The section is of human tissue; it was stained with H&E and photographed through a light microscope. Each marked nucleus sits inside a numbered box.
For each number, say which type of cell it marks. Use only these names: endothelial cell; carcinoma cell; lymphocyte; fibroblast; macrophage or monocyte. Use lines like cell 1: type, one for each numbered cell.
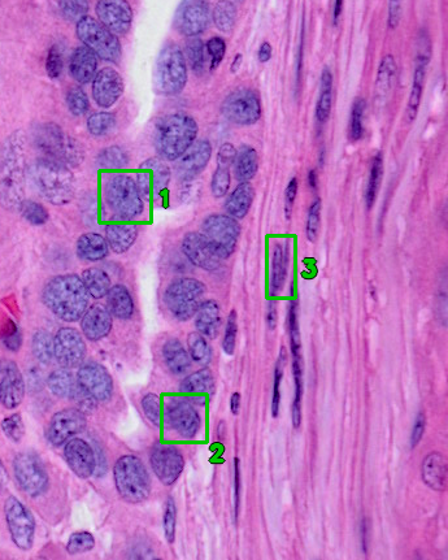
cell 1: carcinoma cell
cell 2: carcinoma cell
cell 3: fibroblast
